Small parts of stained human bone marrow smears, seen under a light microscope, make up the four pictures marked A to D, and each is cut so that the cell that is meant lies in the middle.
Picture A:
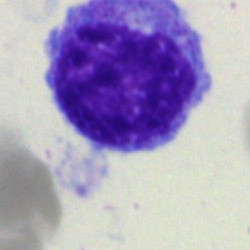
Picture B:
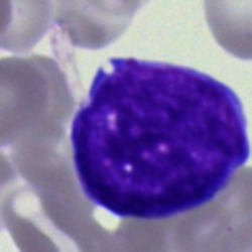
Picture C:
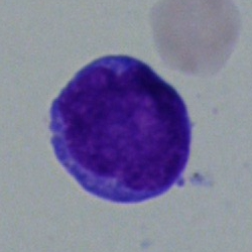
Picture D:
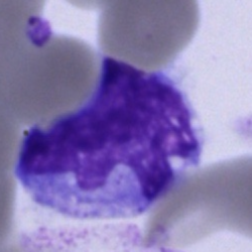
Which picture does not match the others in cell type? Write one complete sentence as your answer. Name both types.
Picture D differs, because its cell is a monocyte and the rest are blasts.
